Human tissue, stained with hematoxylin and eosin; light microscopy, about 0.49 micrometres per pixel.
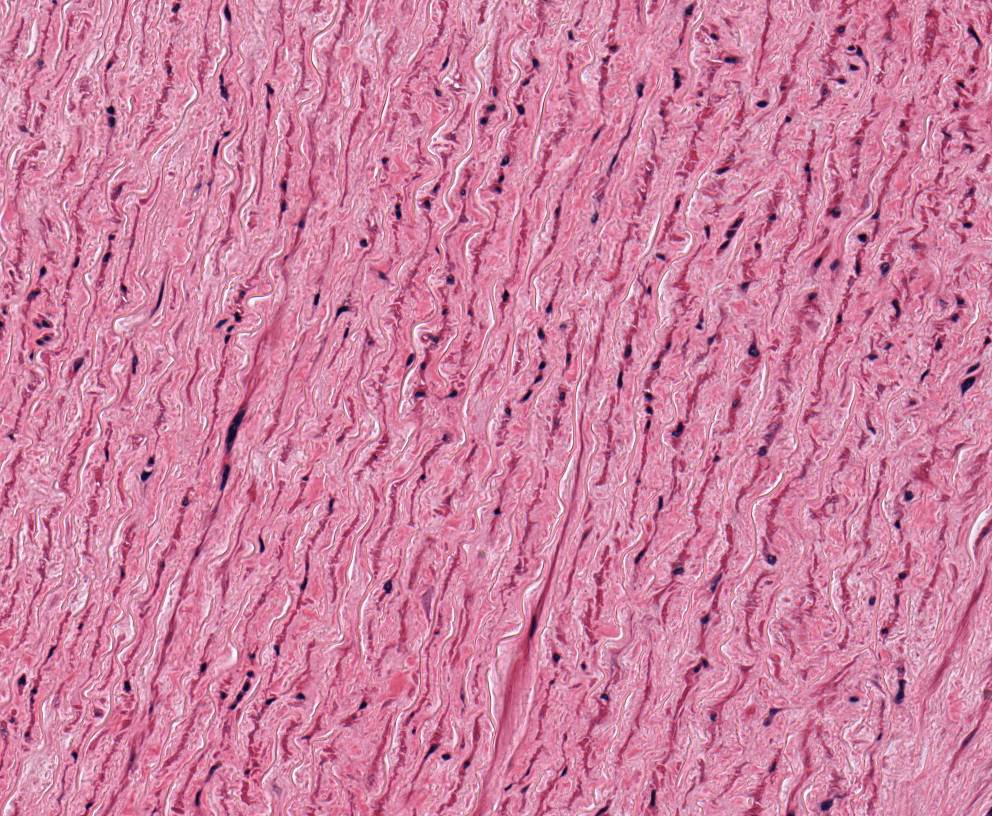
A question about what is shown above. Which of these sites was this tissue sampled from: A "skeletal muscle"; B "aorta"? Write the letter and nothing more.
B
